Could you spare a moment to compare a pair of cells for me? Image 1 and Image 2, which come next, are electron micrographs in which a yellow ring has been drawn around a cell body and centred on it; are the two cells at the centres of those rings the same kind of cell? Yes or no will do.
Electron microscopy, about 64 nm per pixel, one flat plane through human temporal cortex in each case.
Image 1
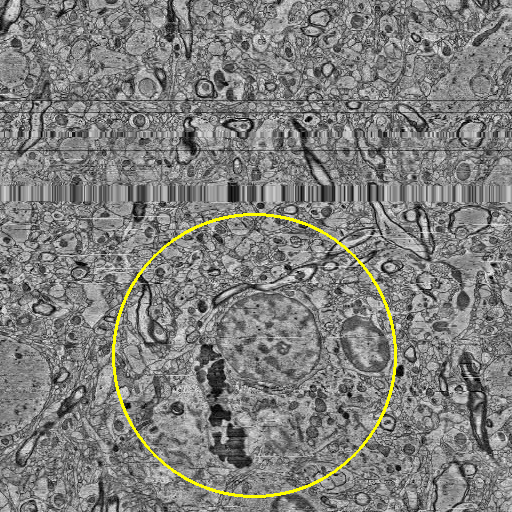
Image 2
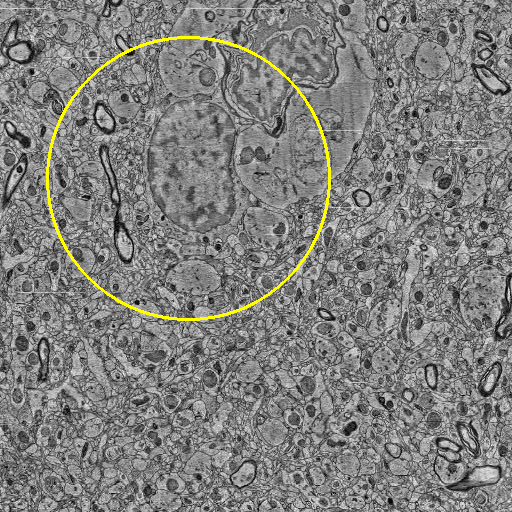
yes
